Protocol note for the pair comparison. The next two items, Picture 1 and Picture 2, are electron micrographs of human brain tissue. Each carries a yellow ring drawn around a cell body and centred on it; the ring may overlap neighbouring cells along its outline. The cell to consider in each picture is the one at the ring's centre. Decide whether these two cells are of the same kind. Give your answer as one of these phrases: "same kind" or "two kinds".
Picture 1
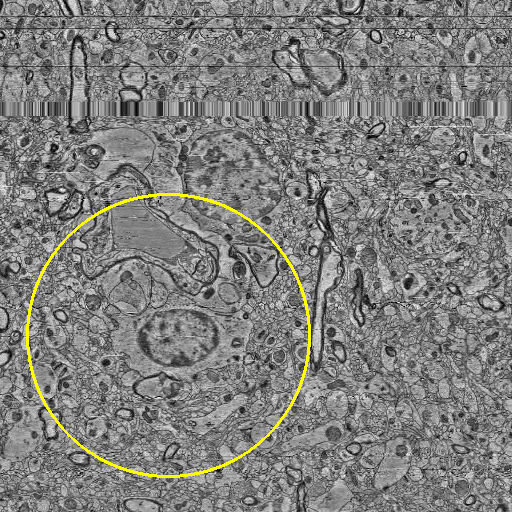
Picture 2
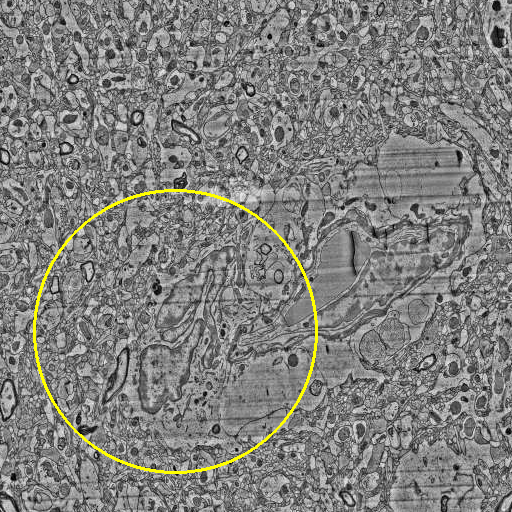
same kind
